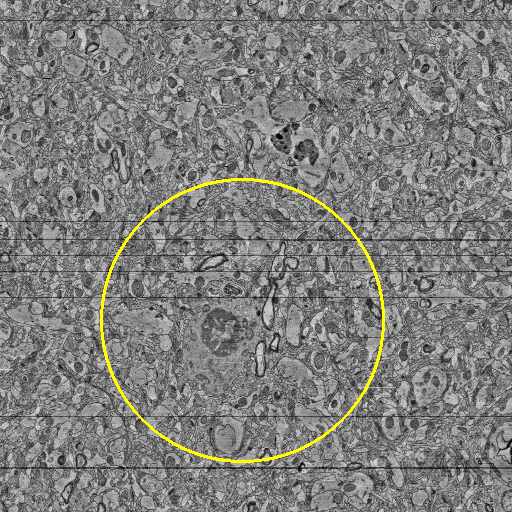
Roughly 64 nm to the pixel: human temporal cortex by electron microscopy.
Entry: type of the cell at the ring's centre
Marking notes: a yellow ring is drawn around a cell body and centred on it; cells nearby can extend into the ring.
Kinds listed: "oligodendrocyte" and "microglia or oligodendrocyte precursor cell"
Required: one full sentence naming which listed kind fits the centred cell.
My entry names an oligodendrocyte as the cell whose body the yellow ring centres on.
